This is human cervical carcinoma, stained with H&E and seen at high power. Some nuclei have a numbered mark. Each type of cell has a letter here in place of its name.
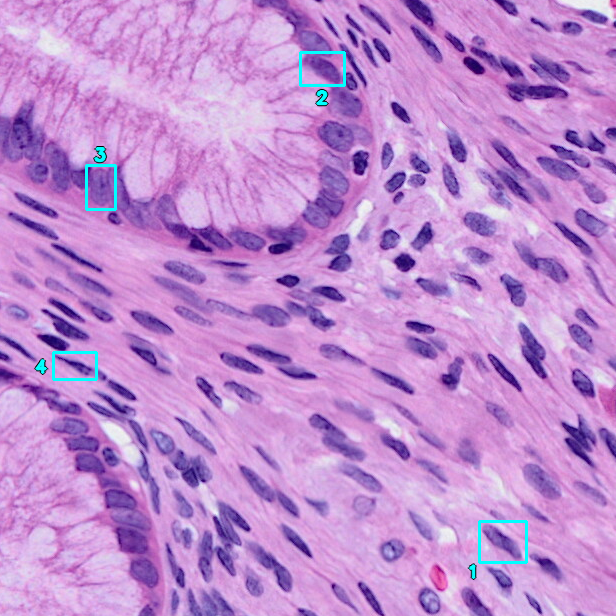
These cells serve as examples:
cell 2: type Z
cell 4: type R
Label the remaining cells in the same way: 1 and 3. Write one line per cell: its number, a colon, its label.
1: type R
3: type Z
